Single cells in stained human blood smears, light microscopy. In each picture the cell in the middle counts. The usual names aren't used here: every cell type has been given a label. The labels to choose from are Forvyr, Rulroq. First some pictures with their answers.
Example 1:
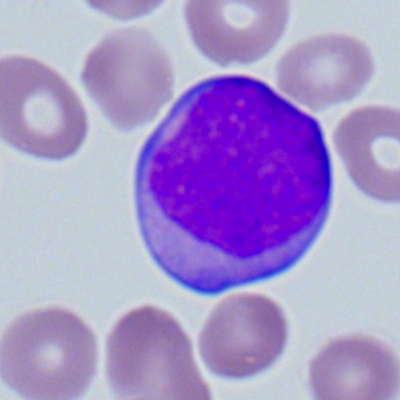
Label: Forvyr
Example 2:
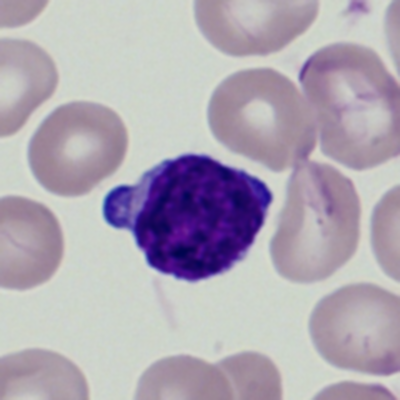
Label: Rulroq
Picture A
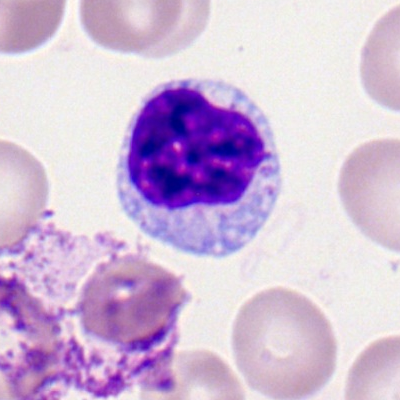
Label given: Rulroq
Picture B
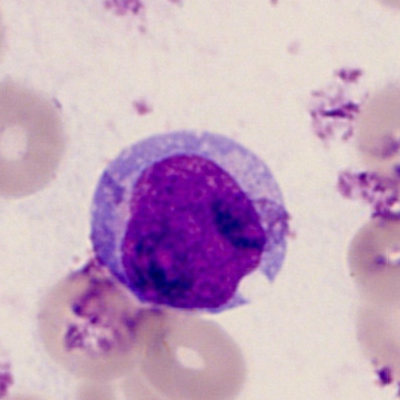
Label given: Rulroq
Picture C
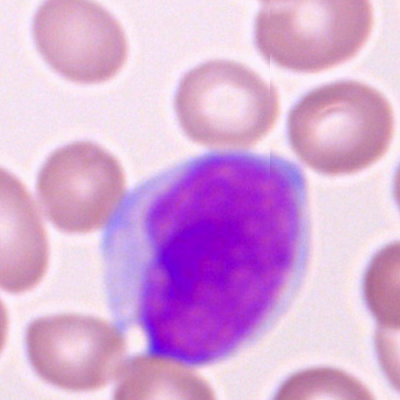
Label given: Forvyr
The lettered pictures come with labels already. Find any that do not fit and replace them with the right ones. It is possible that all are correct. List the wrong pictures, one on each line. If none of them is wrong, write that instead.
B is labelled Rulroq; correct label: Forvyr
